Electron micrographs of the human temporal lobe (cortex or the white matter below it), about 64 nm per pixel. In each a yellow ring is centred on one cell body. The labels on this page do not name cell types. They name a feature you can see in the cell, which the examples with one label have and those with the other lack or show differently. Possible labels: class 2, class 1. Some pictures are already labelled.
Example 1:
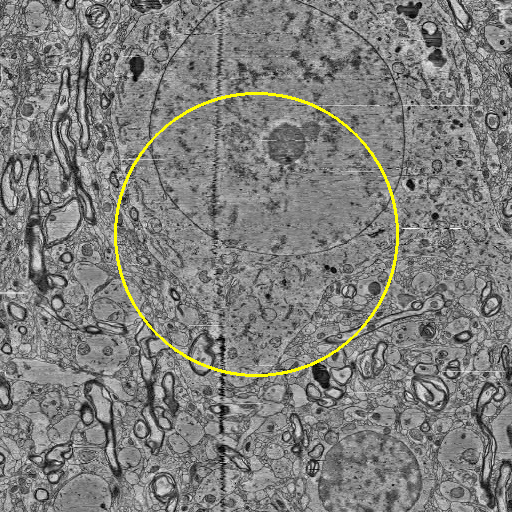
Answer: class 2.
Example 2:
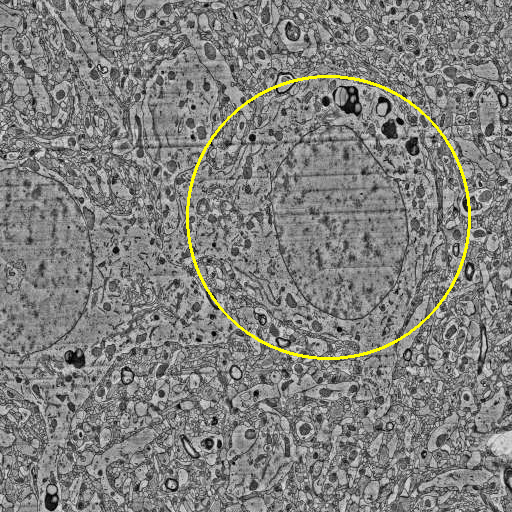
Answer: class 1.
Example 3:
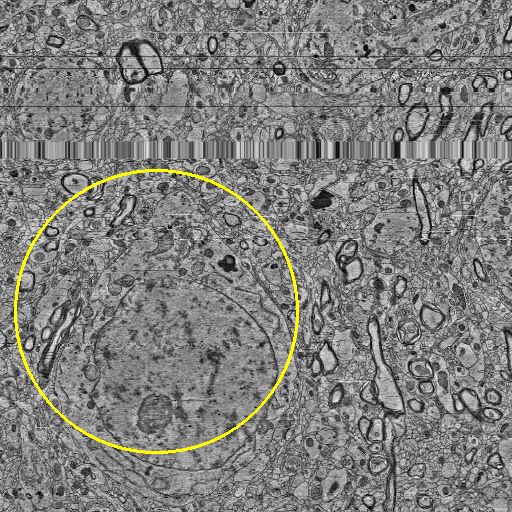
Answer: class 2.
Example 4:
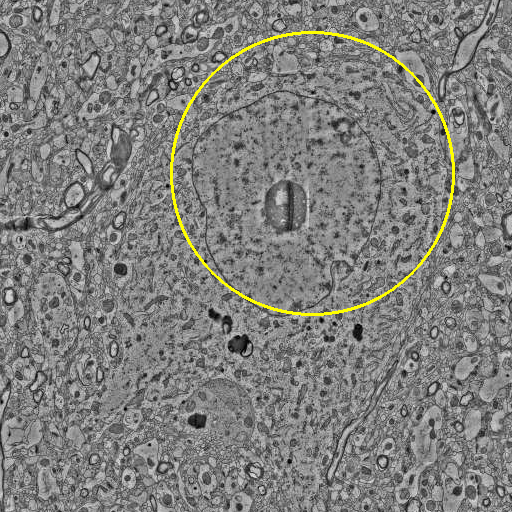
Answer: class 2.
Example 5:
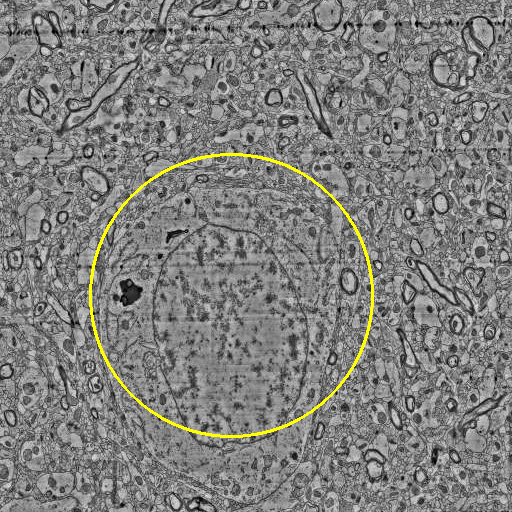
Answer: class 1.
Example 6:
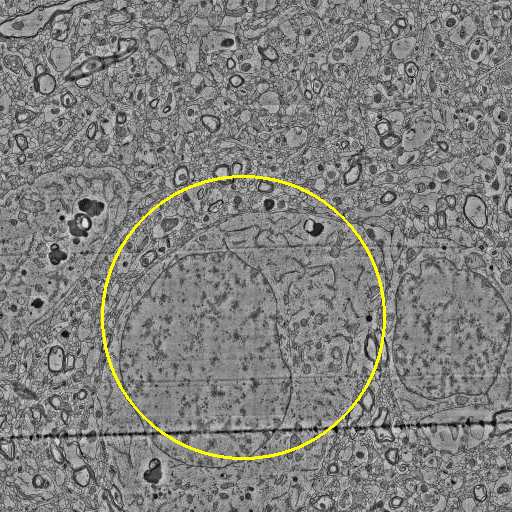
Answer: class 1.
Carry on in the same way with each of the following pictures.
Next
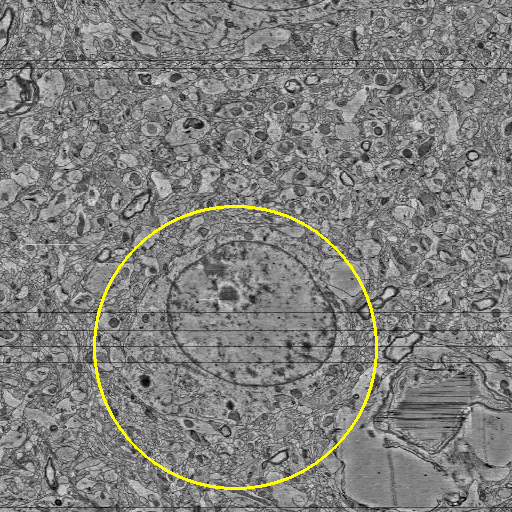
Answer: class 2.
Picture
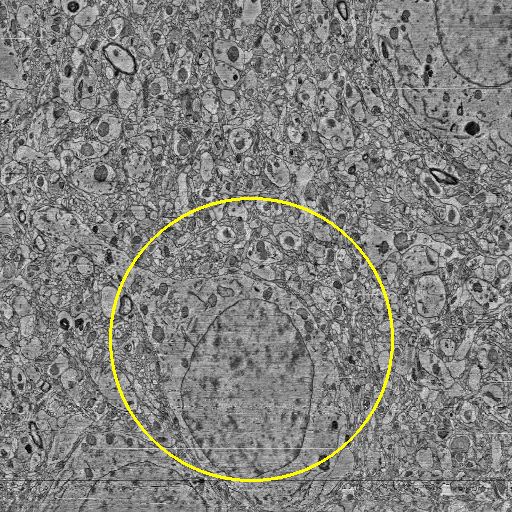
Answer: class 1.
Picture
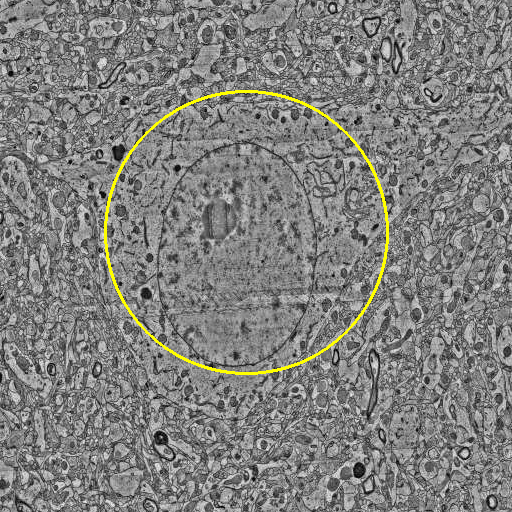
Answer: class 2.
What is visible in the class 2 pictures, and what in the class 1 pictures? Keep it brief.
In class 2: nucleolus seen. In class 1: no nucleolus seen.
